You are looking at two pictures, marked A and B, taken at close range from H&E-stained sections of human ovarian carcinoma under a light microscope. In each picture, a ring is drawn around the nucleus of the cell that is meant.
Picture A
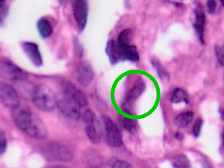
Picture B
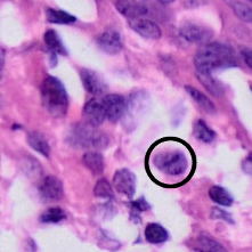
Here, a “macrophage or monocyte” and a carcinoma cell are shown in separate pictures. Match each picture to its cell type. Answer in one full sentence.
Picture A is of a carcinoma cell, and picture B is of a “macrophage or monocyte”.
